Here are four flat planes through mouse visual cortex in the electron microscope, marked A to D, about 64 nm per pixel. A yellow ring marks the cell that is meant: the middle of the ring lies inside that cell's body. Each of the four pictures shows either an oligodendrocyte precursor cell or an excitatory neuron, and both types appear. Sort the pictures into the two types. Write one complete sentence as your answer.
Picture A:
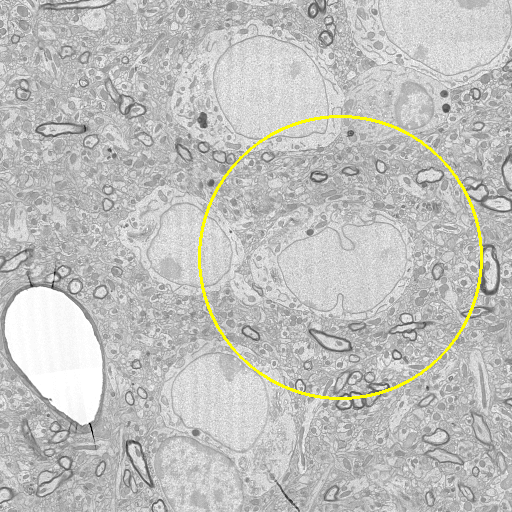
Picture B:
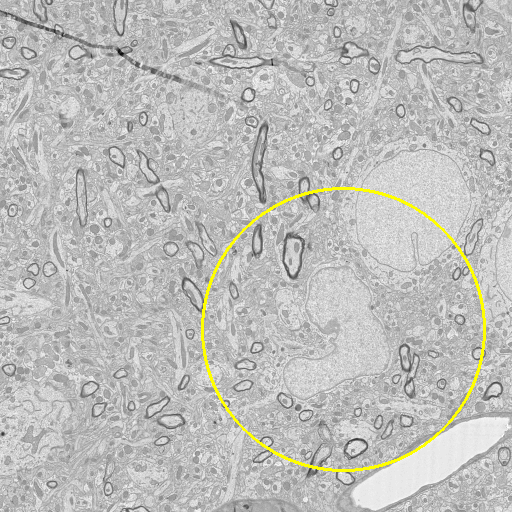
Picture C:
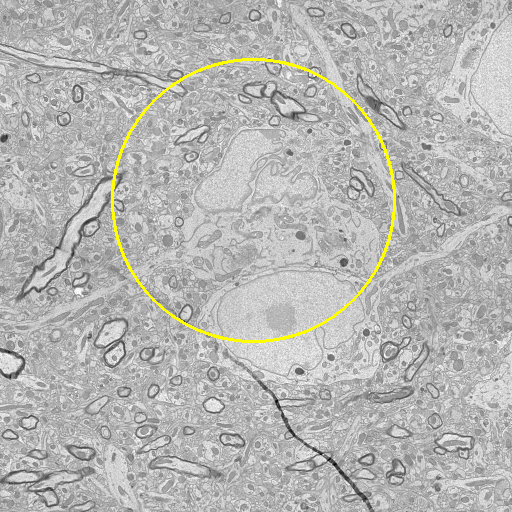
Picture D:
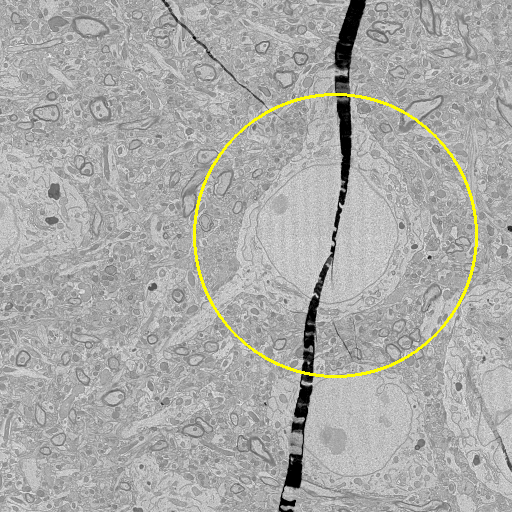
Pictures B and C show oligodendrocyte precursor cells; pictures A and D show excitatory neurons.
